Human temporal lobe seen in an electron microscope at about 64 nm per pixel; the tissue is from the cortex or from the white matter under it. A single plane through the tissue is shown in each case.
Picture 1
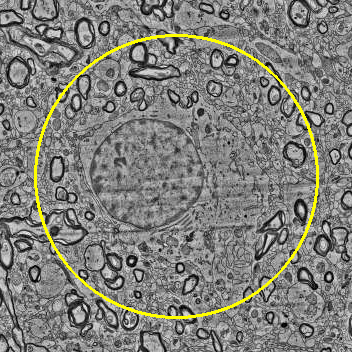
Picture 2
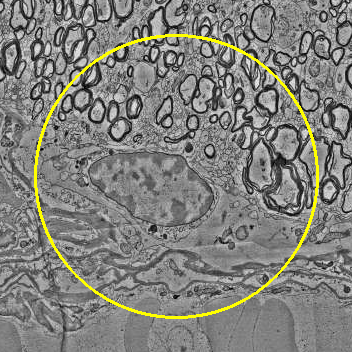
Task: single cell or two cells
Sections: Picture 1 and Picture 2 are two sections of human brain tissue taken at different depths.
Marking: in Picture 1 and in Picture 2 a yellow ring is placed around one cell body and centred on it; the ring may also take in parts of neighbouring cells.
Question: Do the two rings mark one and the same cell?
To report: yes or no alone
no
